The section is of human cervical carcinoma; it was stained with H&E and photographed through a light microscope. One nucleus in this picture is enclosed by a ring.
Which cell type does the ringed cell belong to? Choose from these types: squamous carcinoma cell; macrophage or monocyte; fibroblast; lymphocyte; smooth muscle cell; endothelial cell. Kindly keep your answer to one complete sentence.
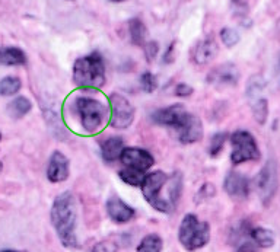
Speaking plainly, the ringed cell is nothing other than a lymphocyte.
